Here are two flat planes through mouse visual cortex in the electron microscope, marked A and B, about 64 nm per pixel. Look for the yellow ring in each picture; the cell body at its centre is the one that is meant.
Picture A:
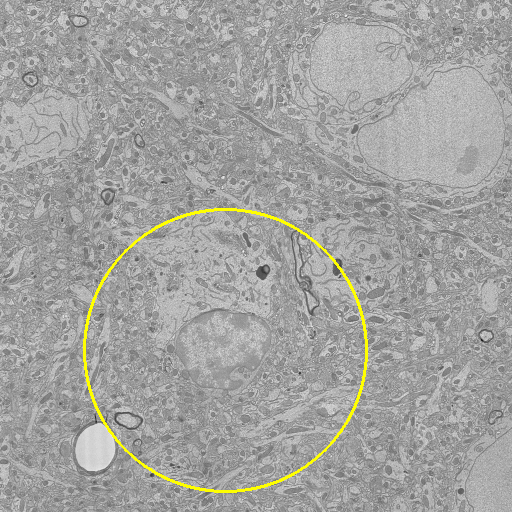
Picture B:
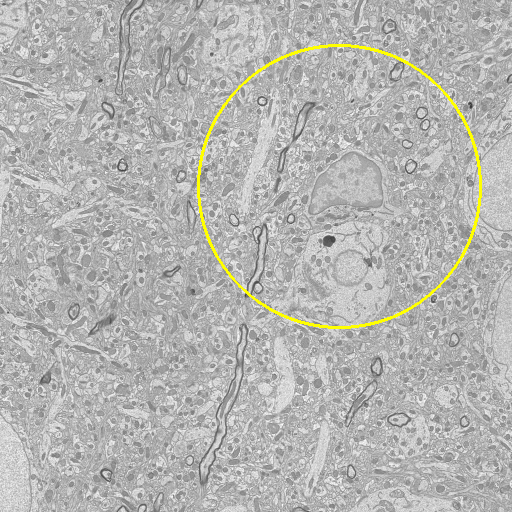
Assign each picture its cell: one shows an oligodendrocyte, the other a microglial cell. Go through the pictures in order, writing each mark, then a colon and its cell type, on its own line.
A: oligodendrocyte
B: microglial cell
